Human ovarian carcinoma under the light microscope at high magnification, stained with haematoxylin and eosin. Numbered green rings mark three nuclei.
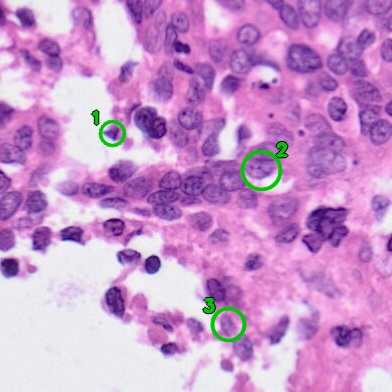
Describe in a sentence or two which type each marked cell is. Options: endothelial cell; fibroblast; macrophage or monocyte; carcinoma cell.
Cells 1 and 2 are carcinoma cells. Cell 3 is a macrophage or monocyte.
